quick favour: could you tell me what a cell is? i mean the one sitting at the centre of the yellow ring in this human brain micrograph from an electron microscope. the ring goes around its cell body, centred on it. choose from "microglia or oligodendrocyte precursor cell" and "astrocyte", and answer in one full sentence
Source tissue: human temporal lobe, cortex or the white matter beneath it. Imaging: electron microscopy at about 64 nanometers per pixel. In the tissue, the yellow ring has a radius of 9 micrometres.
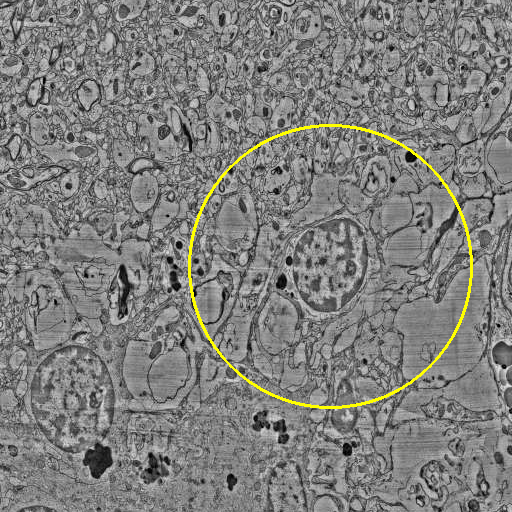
That's a microglial cell or oligodendrocyte precursor cell, the cell sitting at the centre of the yellow ring.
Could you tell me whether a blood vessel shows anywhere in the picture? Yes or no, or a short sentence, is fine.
Yes, a vessel appears in the picture.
